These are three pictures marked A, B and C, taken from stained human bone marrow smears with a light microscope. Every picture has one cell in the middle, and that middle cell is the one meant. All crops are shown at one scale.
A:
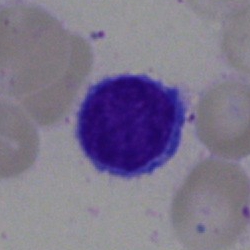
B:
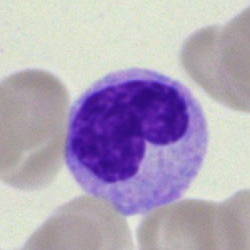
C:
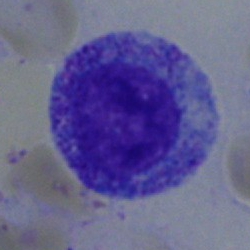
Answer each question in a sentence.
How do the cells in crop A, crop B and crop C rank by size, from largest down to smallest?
The order is C, B, A, beginning with the largest.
